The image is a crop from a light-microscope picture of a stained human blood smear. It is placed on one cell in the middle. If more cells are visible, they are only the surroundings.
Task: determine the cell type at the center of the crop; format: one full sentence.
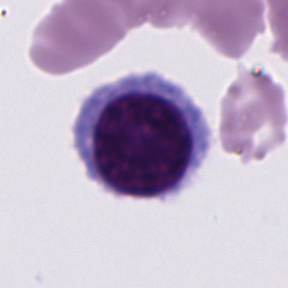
Standing at the centre of this crop is a hairy cell.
